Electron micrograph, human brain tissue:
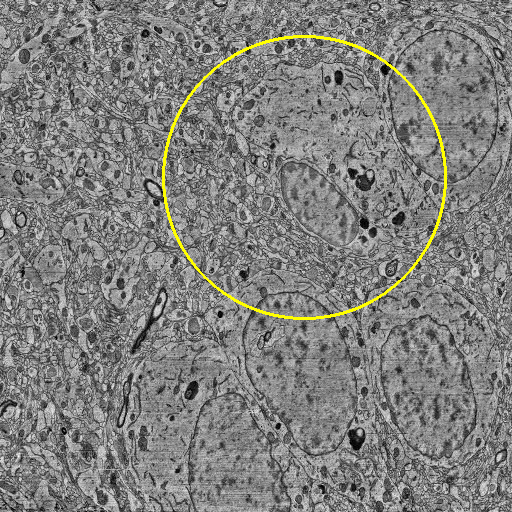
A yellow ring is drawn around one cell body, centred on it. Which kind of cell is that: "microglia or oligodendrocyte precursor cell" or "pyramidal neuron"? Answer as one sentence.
It is a microglial cell or oligodendrocyte precursor cell at the centre of the ring.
